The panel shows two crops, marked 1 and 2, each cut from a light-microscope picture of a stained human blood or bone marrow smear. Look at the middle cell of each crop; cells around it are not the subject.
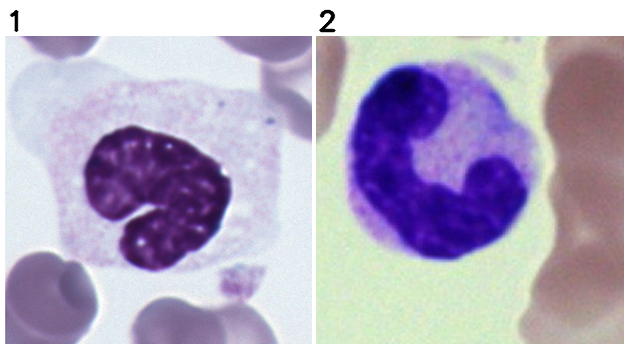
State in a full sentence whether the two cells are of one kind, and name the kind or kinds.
Yes, both crops feature band neutrophils at the centre.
